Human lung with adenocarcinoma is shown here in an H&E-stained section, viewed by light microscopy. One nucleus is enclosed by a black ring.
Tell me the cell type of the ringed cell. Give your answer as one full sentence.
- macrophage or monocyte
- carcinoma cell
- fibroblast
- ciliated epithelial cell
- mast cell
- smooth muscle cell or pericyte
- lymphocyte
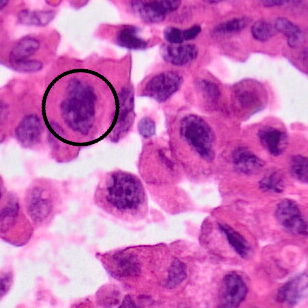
The cell meant here is a carcinoma cell.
